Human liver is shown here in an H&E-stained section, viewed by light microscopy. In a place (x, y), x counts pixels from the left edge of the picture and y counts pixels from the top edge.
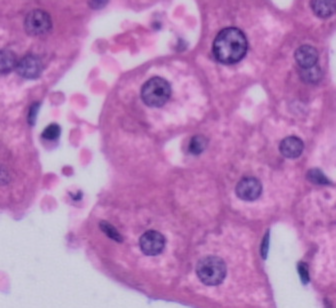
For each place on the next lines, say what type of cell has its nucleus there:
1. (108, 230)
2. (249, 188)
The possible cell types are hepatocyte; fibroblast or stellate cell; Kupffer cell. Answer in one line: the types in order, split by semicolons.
fibroblast or stellate cell; hepatocyte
